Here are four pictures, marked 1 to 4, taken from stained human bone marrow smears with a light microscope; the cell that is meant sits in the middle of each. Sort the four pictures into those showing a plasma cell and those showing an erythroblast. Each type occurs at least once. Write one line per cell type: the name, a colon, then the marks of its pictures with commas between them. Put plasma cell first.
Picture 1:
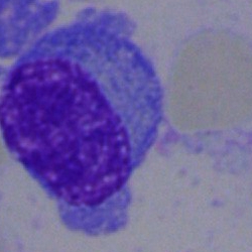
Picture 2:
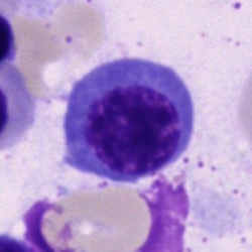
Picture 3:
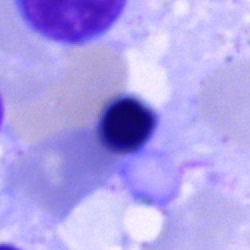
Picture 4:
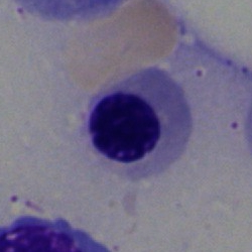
plasma cell: 1
erythroblast: 2, 3, 4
